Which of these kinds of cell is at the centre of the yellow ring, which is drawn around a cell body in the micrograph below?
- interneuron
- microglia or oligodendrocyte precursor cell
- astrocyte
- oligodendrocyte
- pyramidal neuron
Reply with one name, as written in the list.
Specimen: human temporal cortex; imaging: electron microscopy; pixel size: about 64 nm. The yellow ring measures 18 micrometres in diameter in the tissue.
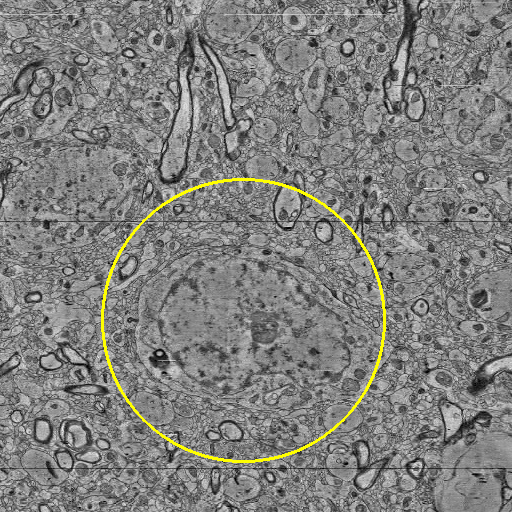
interneuron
